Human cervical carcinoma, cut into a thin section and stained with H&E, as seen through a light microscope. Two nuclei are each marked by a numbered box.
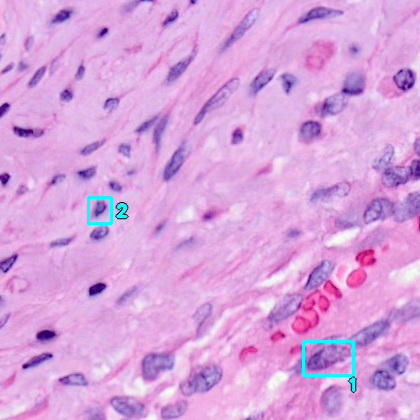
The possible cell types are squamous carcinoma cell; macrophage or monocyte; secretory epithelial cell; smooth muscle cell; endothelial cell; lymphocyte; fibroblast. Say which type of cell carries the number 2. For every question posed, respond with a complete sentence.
Of the numbered cells, the one labelled 2 is a fibroblast.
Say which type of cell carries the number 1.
Cell 1 is classified as an endothelial cell.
